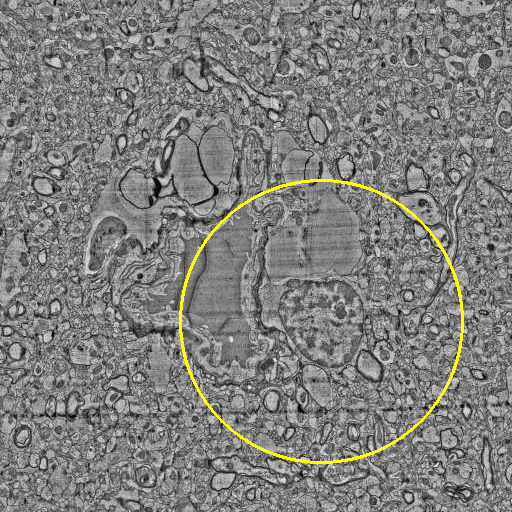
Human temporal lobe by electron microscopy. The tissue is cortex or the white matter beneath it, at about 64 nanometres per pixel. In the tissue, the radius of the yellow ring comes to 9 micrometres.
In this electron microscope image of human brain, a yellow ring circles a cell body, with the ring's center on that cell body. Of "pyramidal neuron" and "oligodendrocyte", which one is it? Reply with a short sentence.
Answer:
It is an oligodendrocyte at the center of the ring.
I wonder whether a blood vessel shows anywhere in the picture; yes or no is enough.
Yes, a blood vessel shows in the picture.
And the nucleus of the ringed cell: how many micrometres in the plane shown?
The nucleus comes to roughly 5 micrometres across in this plane.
